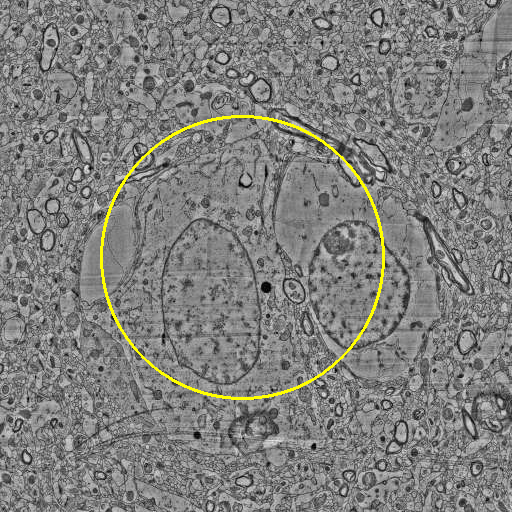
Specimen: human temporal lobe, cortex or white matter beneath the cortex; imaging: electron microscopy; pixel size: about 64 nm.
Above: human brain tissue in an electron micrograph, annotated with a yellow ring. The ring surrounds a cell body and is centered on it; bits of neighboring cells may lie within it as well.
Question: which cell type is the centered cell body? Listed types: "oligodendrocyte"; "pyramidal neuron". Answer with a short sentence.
The centered cell body is a pyramidal neuron.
